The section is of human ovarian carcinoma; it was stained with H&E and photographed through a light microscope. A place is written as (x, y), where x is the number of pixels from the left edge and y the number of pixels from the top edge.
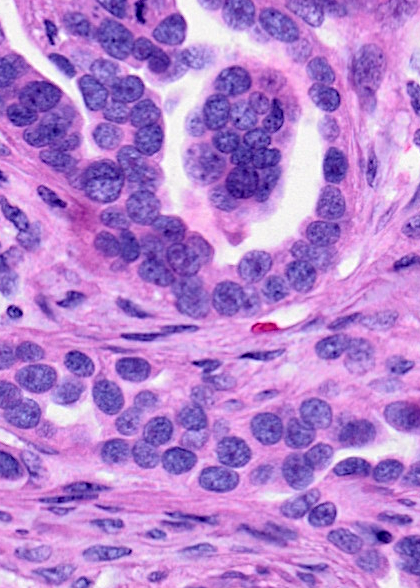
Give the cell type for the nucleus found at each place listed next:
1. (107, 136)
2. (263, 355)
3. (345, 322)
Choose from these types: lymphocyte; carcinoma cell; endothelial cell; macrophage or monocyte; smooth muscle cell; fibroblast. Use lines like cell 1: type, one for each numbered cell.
cell 1: carcinoma cell
cell 2: fibroblast
cell 3: fibroblast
